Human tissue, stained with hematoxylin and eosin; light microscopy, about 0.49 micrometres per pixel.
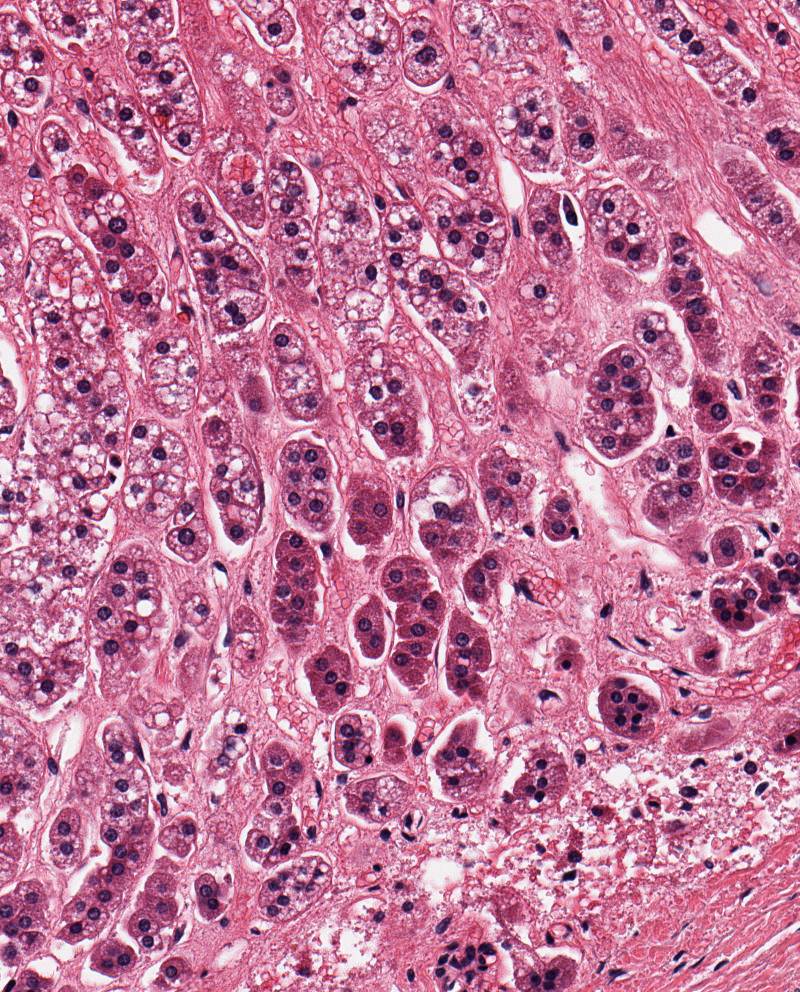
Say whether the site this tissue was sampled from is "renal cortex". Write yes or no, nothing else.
no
